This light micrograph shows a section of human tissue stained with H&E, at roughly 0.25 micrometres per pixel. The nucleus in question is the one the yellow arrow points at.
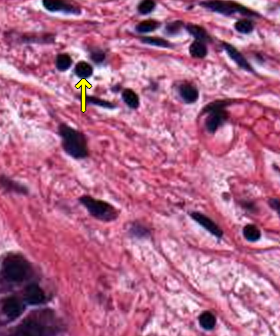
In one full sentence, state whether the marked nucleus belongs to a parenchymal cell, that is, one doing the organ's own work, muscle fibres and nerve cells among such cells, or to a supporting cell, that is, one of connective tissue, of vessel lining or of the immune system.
The marked nucleus is contained in a supporting cell.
